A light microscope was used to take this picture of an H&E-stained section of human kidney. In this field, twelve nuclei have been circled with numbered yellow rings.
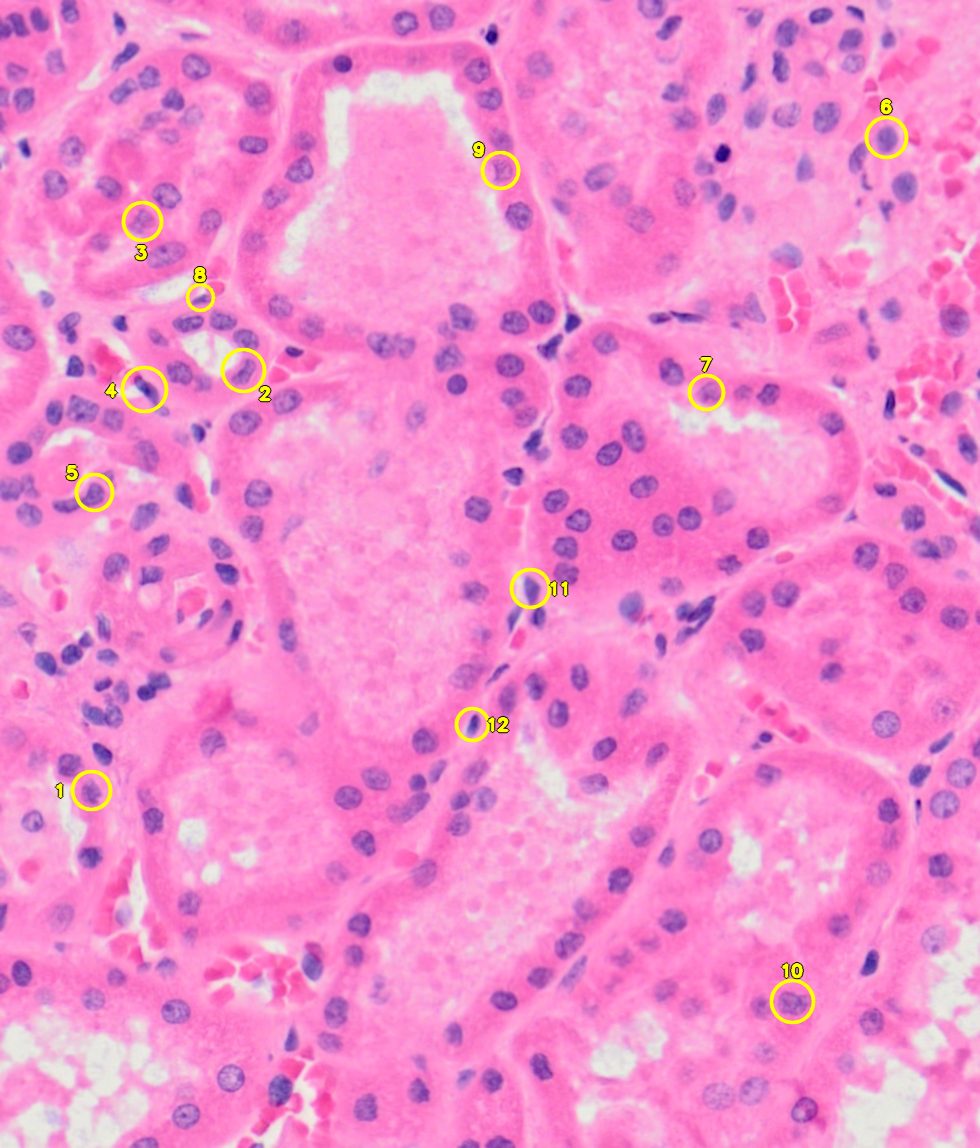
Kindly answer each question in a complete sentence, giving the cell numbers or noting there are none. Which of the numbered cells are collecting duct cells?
Cells 2 and 5 share one type; they are collecting duct cells.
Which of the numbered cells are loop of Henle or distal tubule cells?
In this set of numbered cells, only cell 1 is a loop of Henle or distal tubule cell.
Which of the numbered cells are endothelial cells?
The cells tagged with numbers 4, 6, 8, 11 and 12 are endothelial cells.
